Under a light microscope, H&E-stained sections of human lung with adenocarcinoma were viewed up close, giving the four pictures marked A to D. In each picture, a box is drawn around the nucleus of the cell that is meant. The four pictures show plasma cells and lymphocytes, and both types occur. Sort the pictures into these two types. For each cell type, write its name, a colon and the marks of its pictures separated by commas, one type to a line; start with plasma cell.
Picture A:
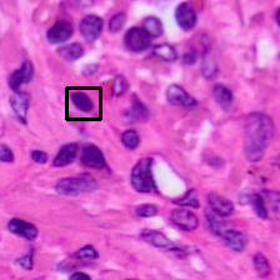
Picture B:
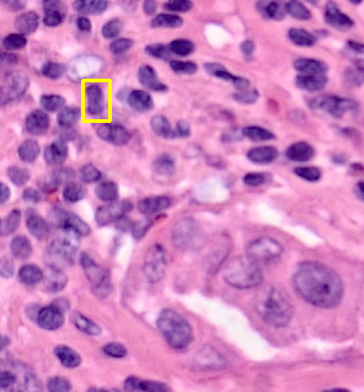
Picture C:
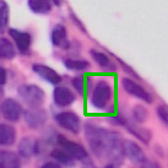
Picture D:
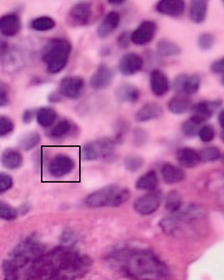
plasma cell: A
lymphocyte: B, C, D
